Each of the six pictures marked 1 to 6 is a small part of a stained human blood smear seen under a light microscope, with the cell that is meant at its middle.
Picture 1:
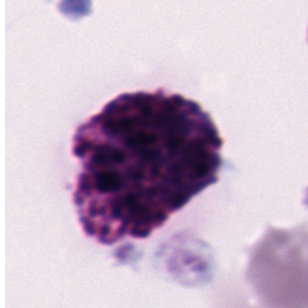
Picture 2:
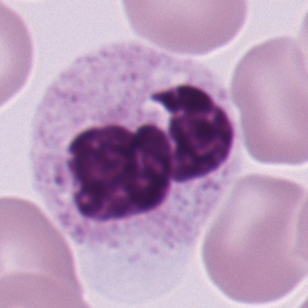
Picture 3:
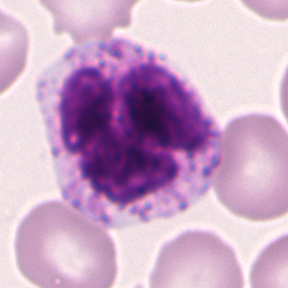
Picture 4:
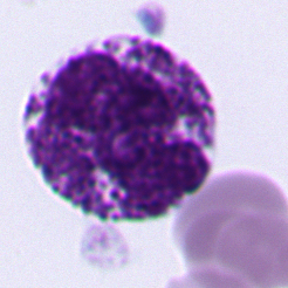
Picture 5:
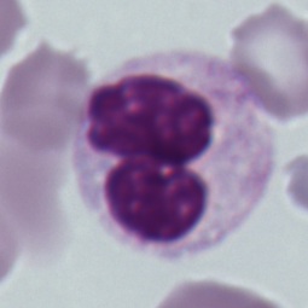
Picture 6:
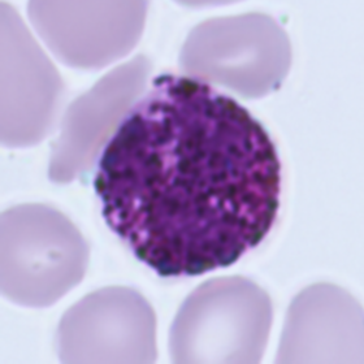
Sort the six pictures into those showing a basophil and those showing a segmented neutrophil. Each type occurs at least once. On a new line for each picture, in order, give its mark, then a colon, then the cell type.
1: basophil
2: segmented neutrophil
3: basophil
4: basophil
5: segmented neutrophil
6: basophil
